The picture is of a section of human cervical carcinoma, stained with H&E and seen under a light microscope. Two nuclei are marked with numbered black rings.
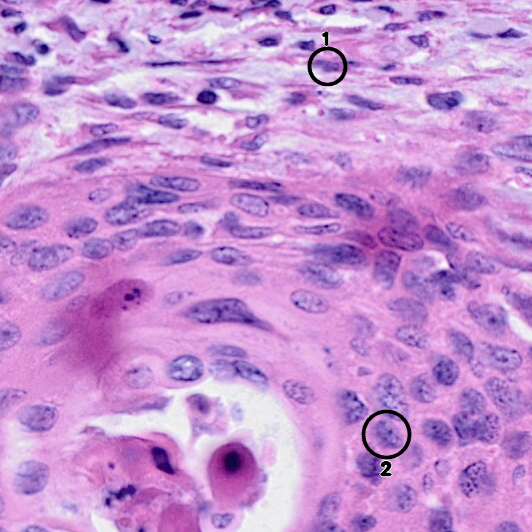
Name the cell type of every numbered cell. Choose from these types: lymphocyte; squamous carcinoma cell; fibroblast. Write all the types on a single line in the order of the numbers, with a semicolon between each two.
fibroblast; squamous carcinoma cell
